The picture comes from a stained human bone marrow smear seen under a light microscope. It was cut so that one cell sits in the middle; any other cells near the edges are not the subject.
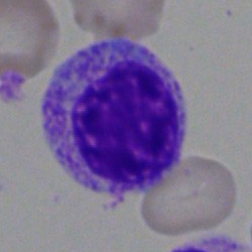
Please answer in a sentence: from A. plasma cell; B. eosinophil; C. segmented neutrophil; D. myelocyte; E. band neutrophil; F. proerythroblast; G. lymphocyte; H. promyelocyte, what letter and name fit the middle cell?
Option D is the correct selection, for the cell at the centre is a myelocyte.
